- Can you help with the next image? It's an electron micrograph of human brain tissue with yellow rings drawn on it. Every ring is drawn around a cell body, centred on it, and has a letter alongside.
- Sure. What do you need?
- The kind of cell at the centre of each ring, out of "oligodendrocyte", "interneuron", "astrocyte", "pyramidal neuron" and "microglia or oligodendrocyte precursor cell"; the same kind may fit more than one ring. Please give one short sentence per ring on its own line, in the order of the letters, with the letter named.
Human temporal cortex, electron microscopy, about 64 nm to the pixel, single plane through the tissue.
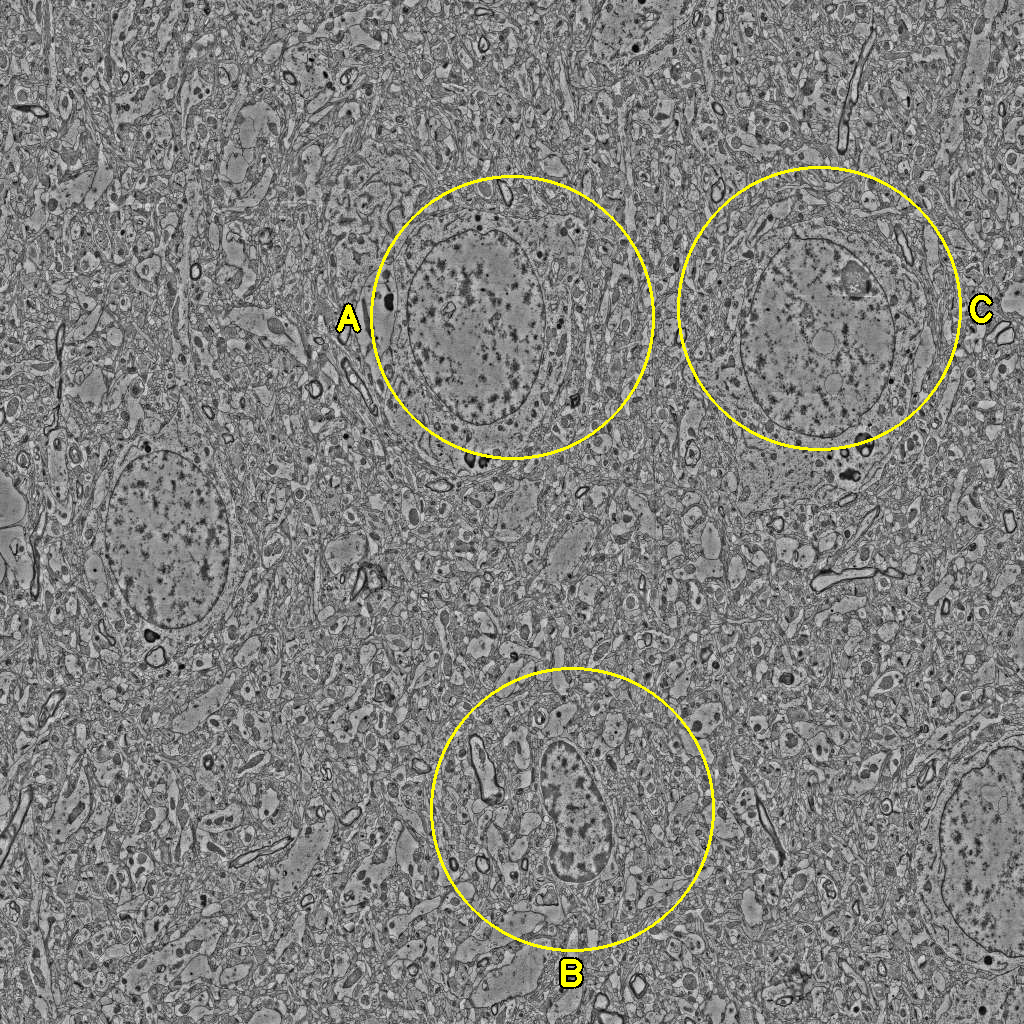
Ring A picks out a pyramidal neuron.
Ring B picks out a microglial cell or oligodendrocyte precursor cell.
Ring C picks out a pyramidal neuron.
